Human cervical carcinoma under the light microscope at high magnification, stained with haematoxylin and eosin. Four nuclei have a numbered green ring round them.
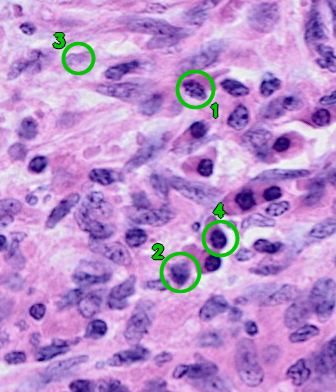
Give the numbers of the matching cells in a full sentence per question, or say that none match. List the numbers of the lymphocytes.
Cells numbered 1, 2 and 4 belong to the group of lymphocytes.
